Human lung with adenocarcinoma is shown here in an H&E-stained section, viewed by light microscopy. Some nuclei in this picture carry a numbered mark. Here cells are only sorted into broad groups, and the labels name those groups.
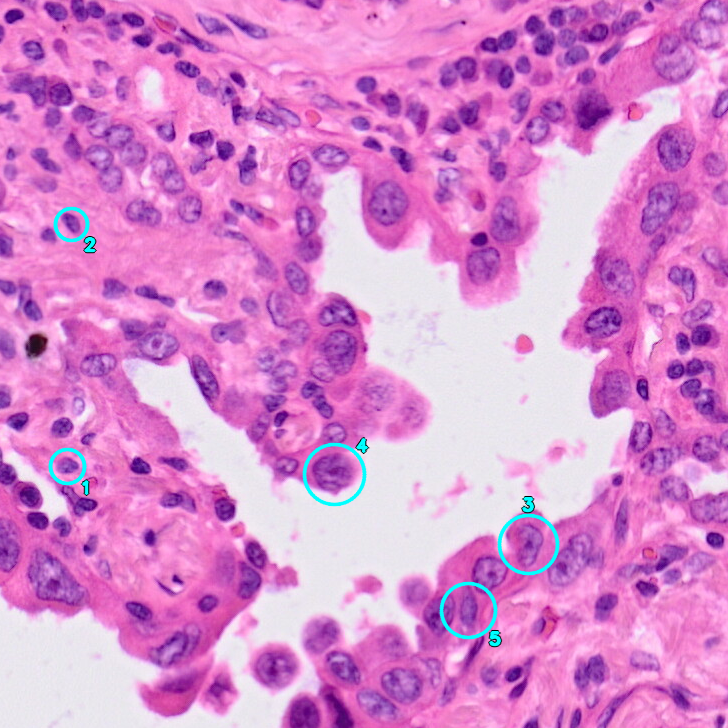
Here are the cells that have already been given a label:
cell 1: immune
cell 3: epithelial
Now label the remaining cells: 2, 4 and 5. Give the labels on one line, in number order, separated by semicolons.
immune; epithelial; epithelial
